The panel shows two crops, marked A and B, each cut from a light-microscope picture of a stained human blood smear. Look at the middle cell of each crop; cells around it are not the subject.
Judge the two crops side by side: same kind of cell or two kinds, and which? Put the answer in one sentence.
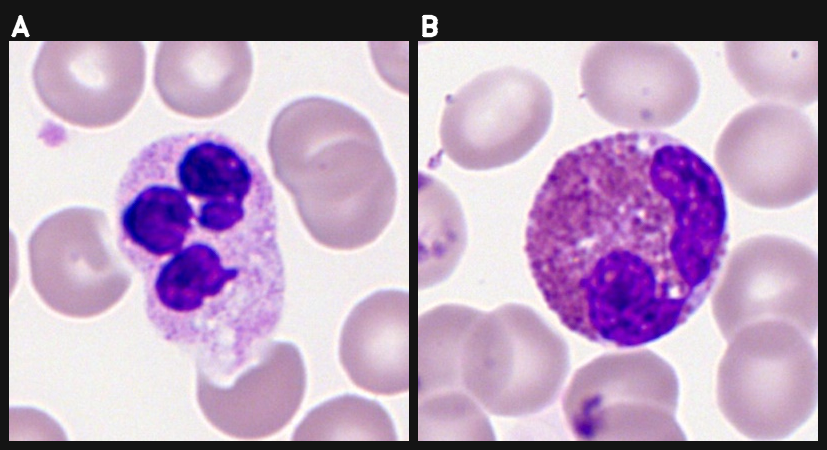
No, crop A is of a segmented neutrophil, and crop B is of an eosinophil.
